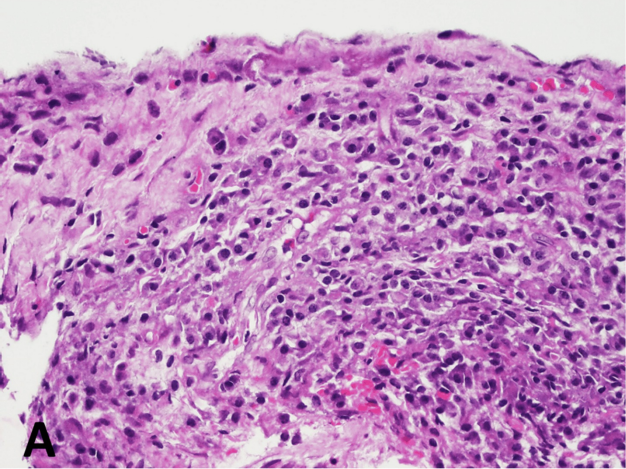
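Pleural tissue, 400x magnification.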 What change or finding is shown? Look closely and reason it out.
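Sheets of closely packed small round cells with dark round nuclei fill most of the tissue. Many cells have eccentric nuclei and a rim of pink cytoplasm. Little dense collagen is seen between the cells.
Conclusion: dense lymphoplasmacytic infiltrate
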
